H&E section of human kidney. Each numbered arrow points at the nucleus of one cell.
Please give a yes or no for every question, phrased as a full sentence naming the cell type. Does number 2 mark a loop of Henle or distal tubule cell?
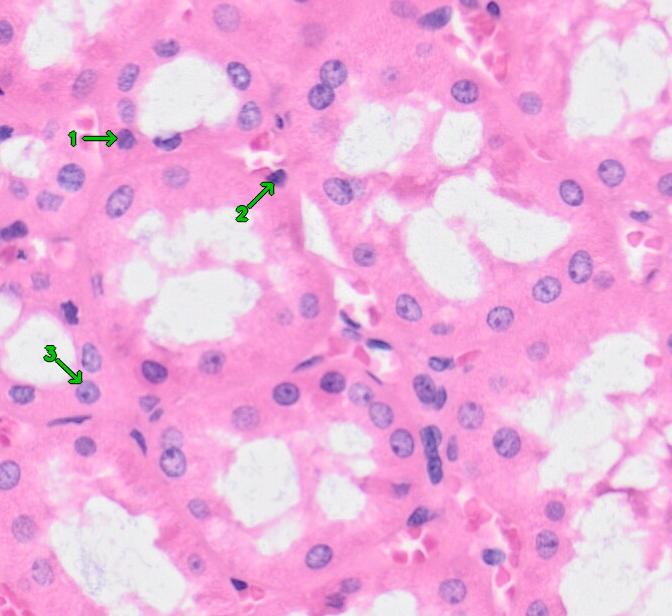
No, cell 2 is not a loop of Henle or distal tubule cell. It is an endothelial cell.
